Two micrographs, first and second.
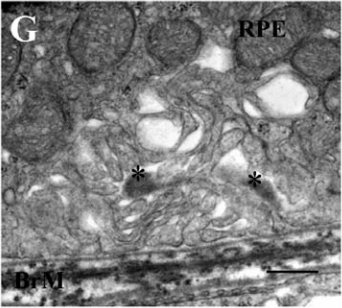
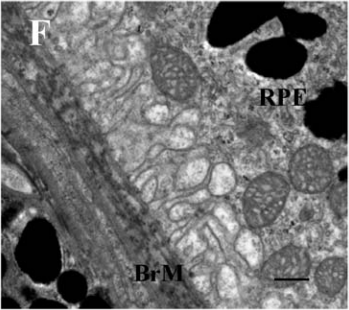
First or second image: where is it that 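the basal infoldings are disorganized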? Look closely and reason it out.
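First image: the basal membrane folds are irregular, with clear spaces and dense material between them. Second image: the basal membrane folds are regular and closely packed. That points to this answer: the first image.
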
